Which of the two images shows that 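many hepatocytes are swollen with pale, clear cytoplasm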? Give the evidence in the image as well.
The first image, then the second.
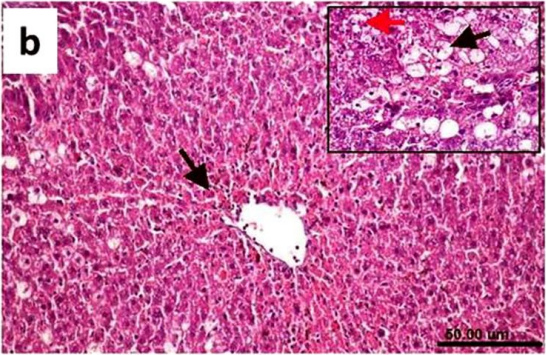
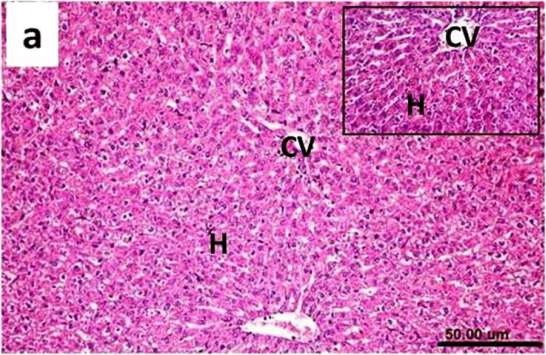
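First image: the inset shows many enlarged hepatocytes with clear, empty-looking cytoplasm. Second image: hepatocytes are evenly pink with round nuclei in regular cords.
Conclusion: the first image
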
